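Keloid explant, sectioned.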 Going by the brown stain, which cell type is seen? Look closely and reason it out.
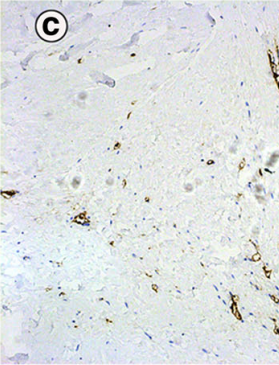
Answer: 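Brown stain lines narrow elongated tubular profiles scattered through pale matrix. Some brown profiles enclose small lumens. Brown stain is confined to these channel-like structures, not the surrounding matrix.
Hence: microvascular endothelial cells.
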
